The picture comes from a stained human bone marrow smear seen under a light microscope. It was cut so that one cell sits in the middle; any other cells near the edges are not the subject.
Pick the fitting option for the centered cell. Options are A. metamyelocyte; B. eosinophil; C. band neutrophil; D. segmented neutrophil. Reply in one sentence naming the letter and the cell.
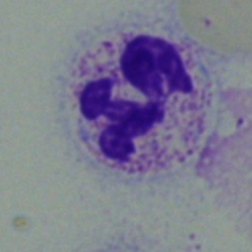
Here the central cell is a segmented neutrophil, and option D is correct.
